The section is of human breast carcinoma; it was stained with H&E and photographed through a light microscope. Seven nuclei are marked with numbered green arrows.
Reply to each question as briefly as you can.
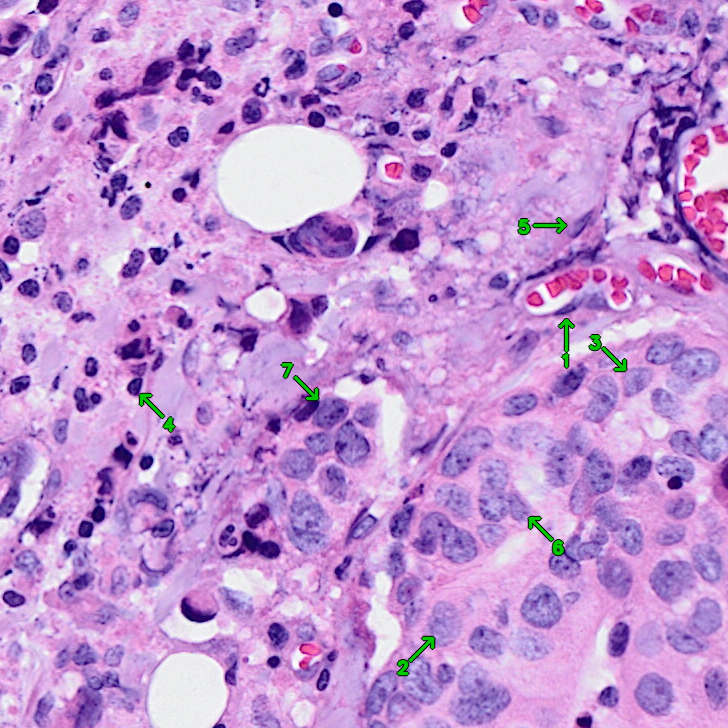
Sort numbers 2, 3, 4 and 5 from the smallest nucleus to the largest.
4, 5, 3, 2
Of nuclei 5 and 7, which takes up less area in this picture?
5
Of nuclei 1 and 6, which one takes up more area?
6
